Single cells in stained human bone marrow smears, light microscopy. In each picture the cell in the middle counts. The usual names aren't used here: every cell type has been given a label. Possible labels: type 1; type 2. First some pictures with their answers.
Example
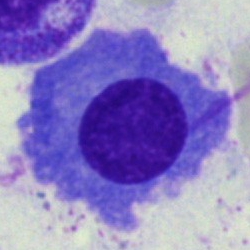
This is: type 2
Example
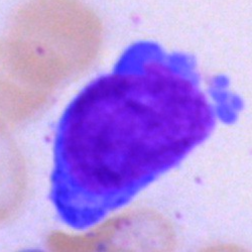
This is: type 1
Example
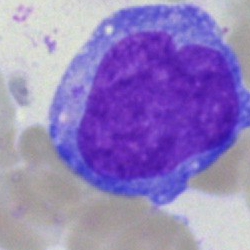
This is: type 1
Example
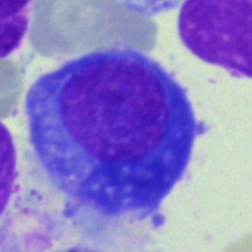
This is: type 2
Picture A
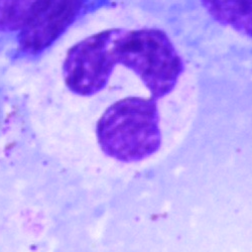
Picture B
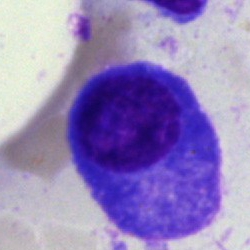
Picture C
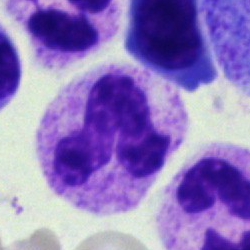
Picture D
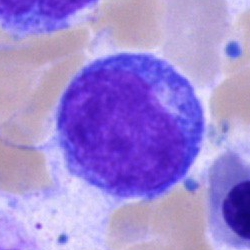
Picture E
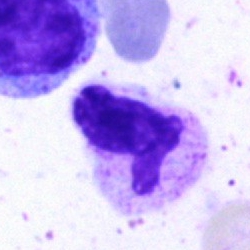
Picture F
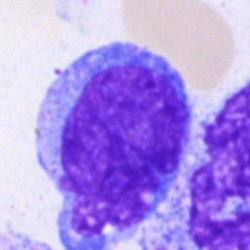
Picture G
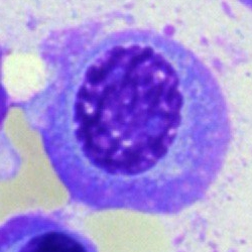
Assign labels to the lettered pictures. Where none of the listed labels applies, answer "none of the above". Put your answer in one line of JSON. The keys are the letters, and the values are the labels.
{"A": "none of the above", "B": "type 2", "C": "none of the above", "D": "type 1", "E": "none of the above", "F": "type 1", "G": "type 2"}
